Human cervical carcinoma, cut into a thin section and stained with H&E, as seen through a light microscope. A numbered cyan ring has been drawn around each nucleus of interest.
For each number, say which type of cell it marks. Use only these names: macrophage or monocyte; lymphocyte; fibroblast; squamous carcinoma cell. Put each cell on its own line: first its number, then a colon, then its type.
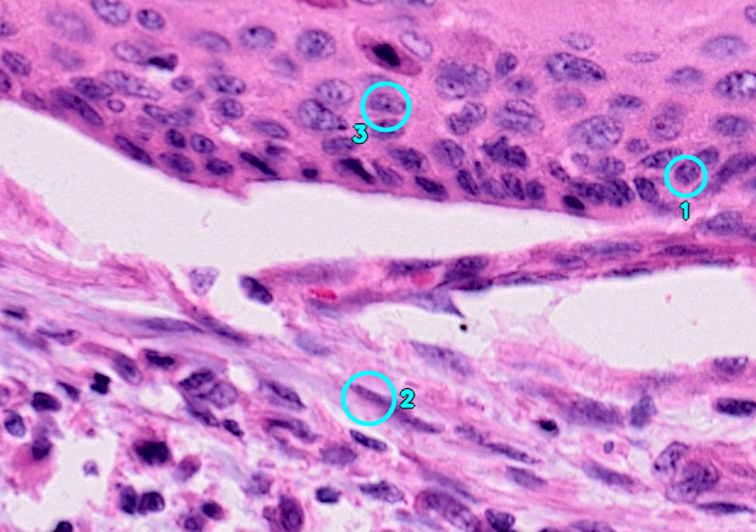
1: squamous carcinoma cell
2: fibroblast
3: squamous carcinoma cell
